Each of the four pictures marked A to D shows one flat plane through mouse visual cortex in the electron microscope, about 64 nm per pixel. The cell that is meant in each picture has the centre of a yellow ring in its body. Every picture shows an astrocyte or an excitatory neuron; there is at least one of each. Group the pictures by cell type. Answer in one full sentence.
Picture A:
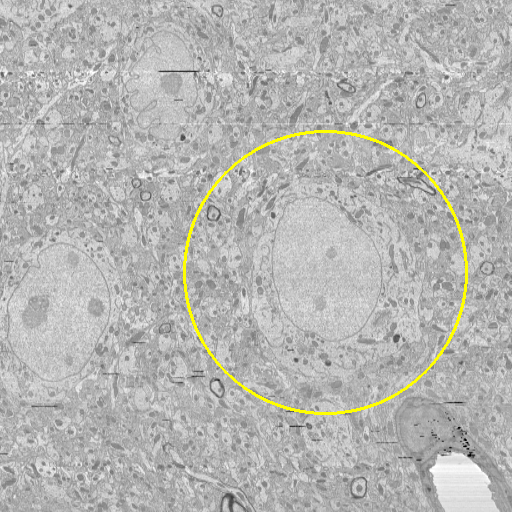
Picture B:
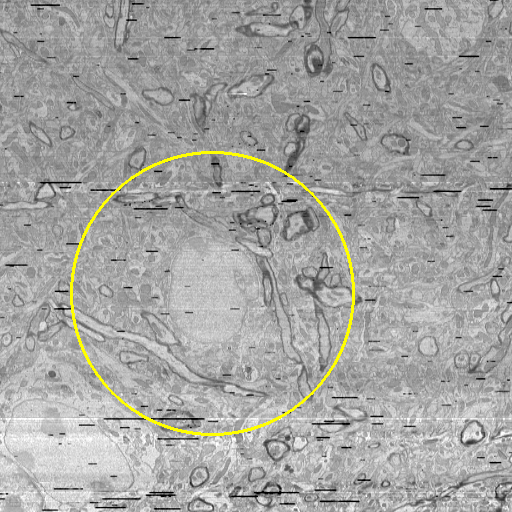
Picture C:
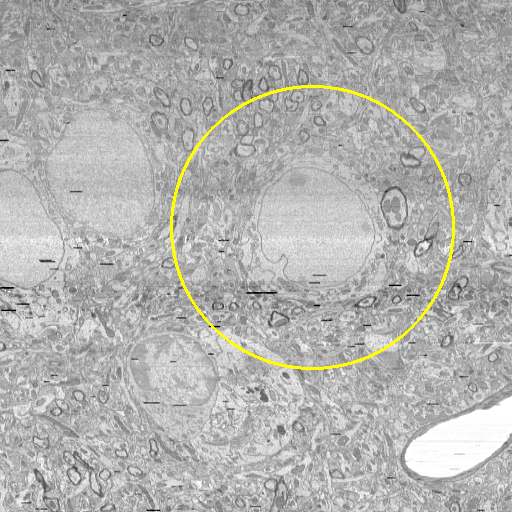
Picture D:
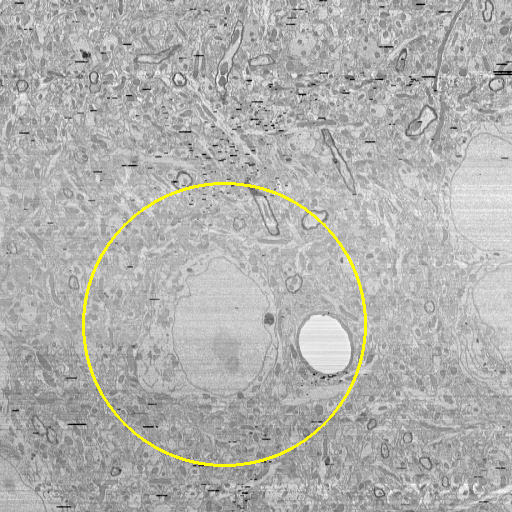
Picture B shows an astrocyte, and pictures A, C and D show excitatory neurons.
